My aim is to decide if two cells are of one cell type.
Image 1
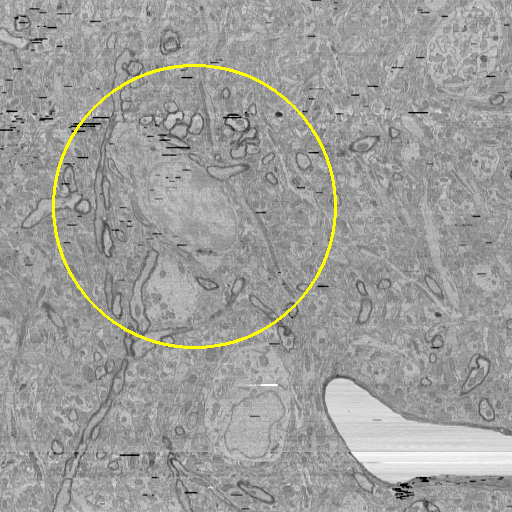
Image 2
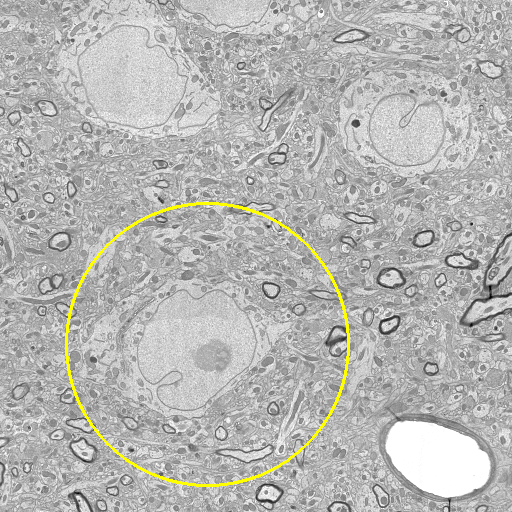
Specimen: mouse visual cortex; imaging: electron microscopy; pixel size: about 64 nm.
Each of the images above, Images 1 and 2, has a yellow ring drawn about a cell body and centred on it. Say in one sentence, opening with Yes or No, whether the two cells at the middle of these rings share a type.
No, in Images 1 and 2 the cells at the middle of the rings fall into two types.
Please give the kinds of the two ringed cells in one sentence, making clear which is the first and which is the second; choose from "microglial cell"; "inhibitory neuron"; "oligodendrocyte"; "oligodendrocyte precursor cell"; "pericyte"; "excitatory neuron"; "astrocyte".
In the second picture the ringed cell is an excitatory neuron; in the first it is an oligodendrocyte.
